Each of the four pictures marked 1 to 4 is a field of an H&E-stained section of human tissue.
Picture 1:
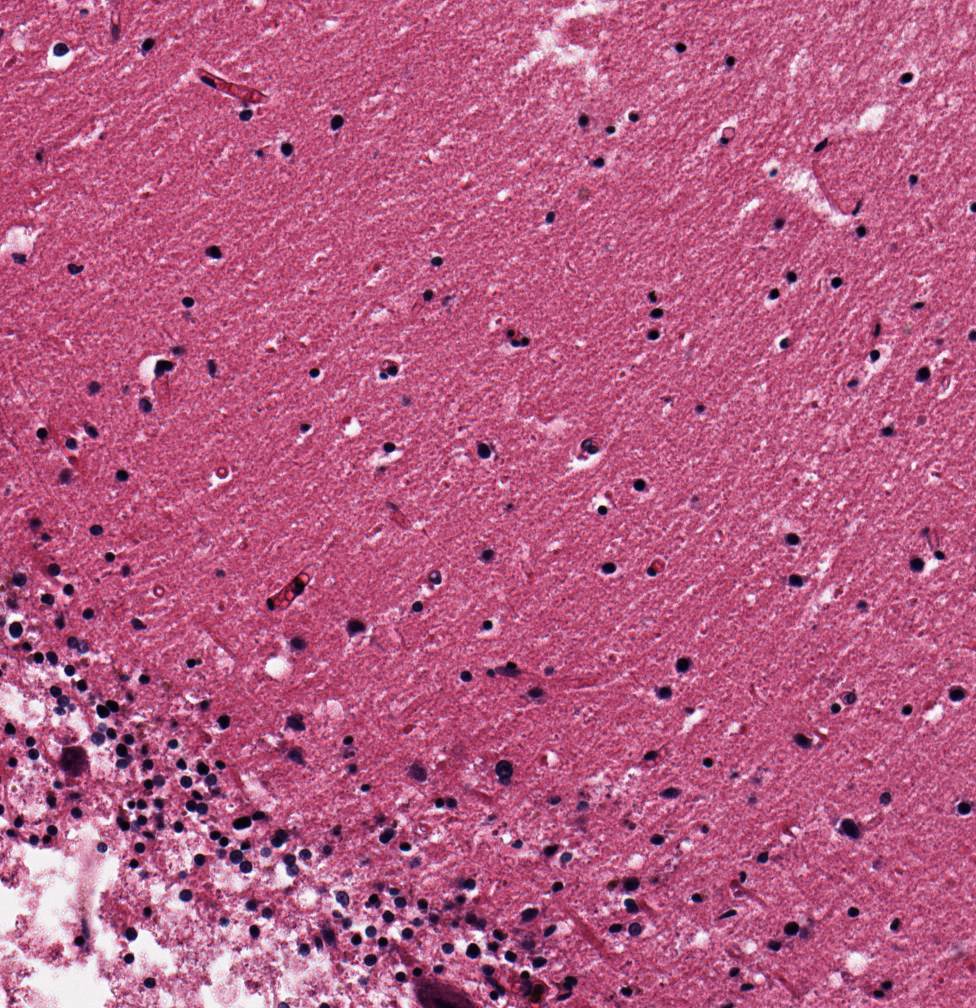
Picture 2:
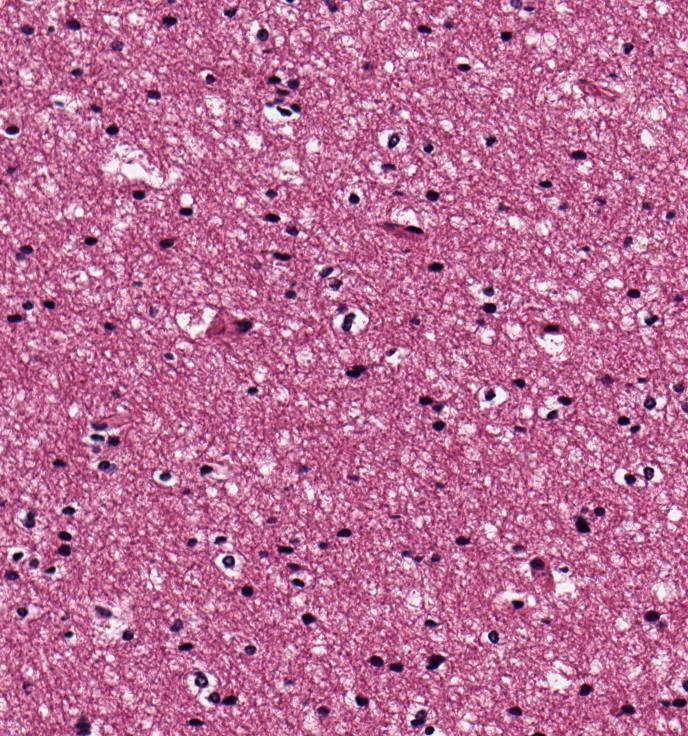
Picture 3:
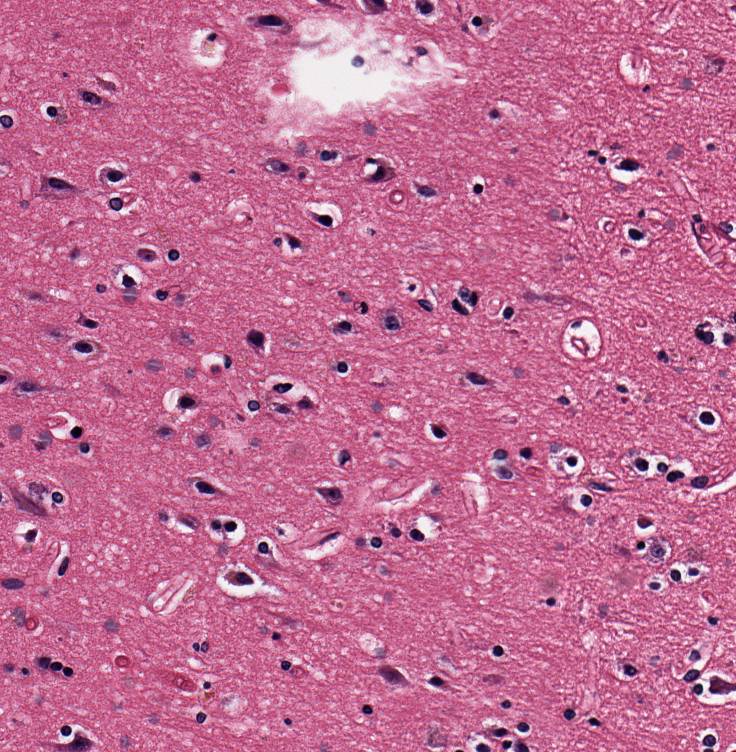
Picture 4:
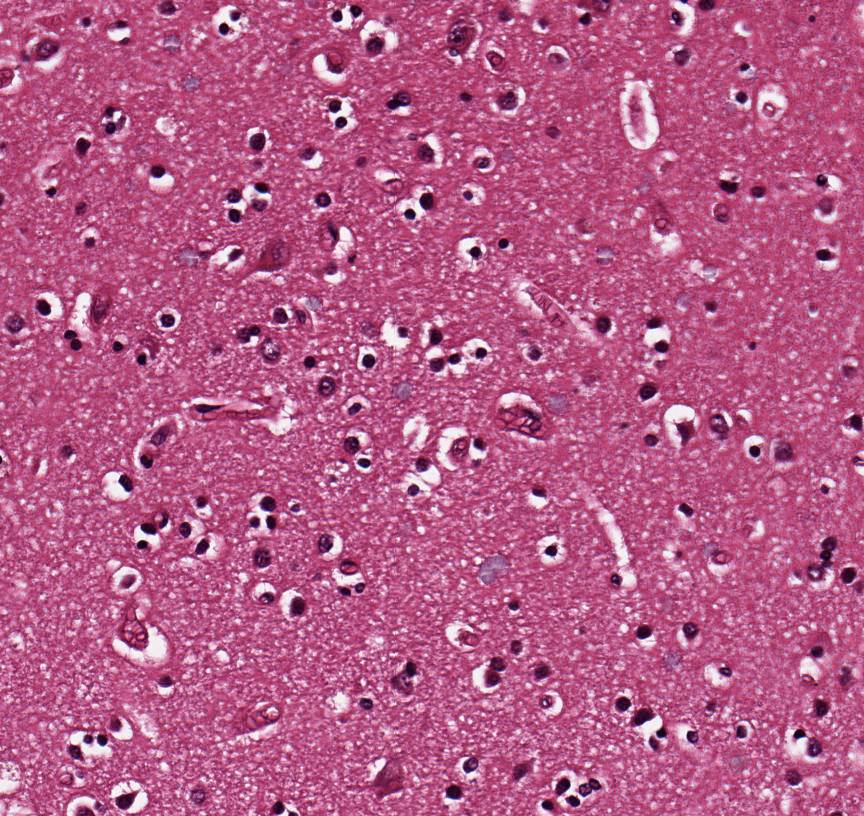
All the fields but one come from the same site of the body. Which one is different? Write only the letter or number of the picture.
1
